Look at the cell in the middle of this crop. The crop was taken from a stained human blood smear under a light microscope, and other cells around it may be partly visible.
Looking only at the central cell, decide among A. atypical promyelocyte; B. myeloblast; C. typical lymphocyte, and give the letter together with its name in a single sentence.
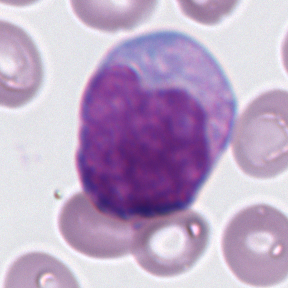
Option A is correct, naming the cell in the middle as an atypical promyelocyte.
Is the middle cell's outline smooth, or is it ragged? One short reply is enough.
The outline traces a smooth curve with no projections along it.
